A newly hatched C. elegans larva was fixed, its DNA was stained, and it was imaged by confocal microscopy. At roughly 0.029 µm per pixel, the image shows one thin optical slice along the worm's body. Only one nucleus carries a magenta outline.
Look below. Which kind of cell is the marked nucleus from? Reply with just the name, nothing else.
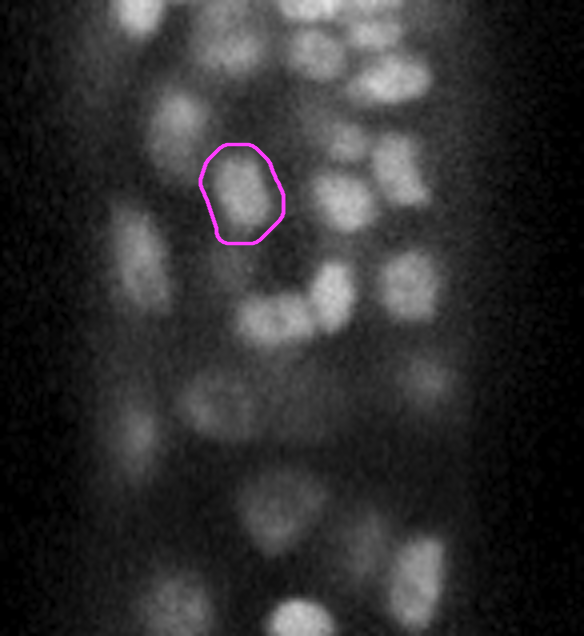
pharyngeal marginal cell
